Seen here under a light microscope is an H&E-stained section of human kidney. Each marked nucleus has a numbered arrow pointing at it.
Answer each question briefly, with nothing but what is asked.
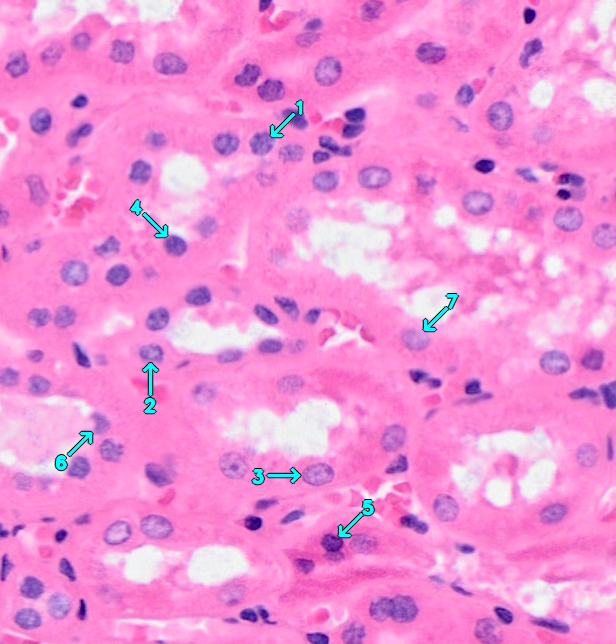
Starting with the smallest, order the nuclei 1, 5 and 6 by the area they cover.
6, 5, 1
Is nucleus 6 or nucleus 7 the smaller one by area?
6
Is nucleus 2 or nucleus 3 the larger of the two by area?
3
